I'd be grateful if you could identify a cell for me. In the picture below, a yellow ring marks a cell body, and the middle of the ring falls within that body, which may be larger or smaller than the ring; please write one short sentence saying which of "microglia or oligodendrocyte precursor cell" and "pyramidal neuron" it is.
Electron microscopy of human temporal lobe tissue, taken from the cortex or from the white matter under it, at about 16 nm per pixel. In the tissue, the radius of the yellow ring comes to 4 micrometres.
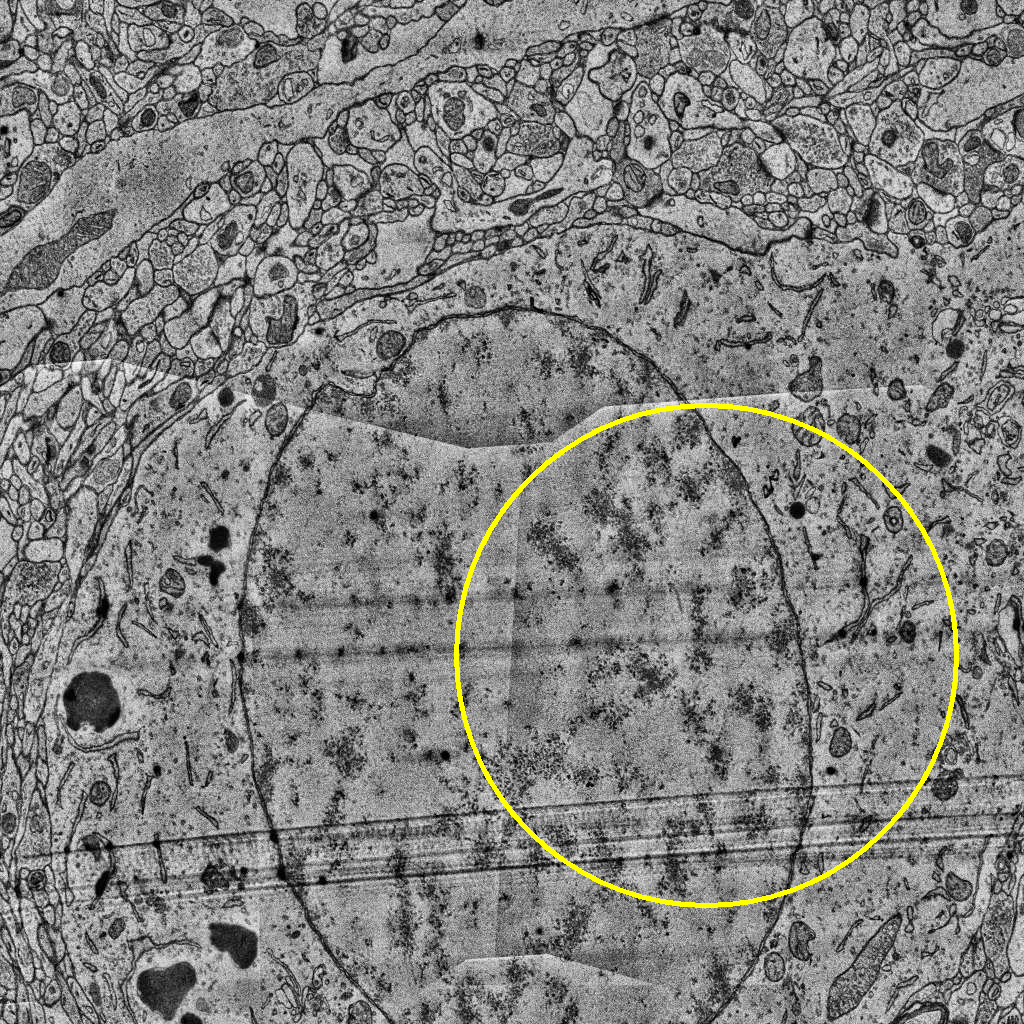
The cell under the ring's centre is a pyramidal neuron.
